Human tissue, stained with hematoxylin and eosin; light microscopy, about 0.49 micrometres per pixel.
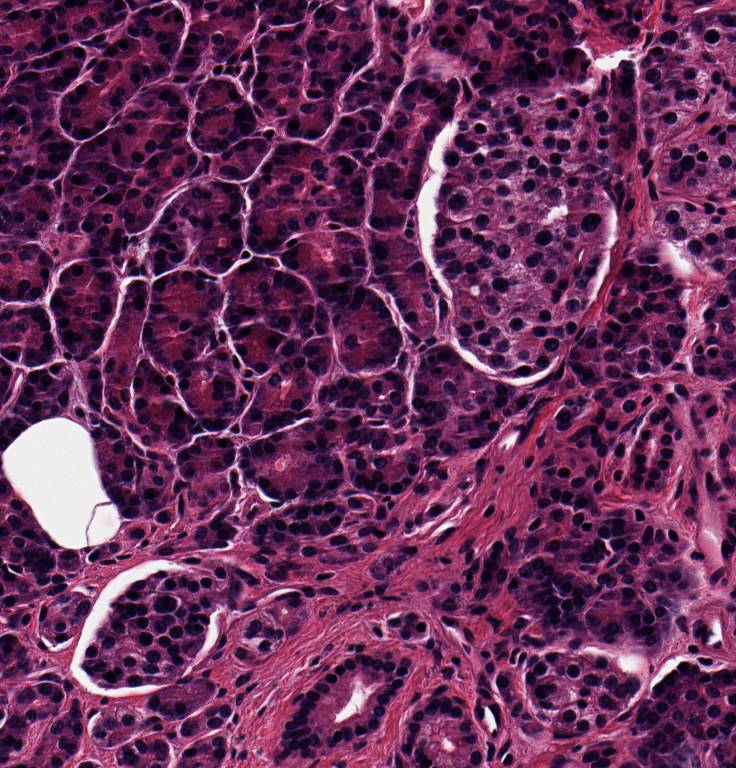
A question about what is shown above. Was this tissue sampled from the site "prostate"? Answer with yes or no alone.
no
